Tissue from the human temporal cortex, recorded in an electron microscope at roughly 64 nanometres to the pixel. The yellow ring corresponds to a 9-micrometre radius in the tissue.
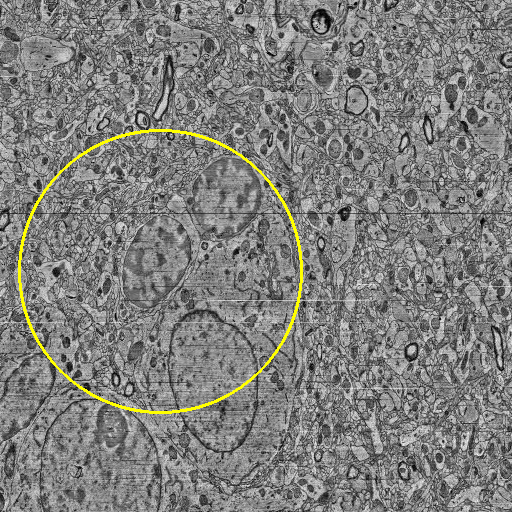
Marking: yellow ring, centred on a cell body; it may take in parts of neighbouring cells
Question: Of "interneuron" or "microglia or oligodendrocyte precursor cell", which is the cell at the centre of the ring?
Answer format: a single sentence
The ring surrounds the body of a microglial cell or oligodendrocyte precursor cell.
